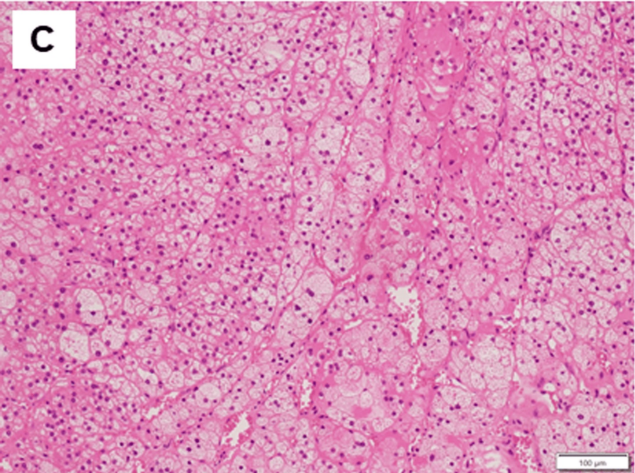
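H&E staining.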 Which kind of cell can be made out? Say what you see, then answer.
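Polygonal cells with broad pale pink to clear, bubbly cytoplasm. Small round central nuclei.
Hence: Tumor cells with abundant eosinophilic to clear cytoplasm.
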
